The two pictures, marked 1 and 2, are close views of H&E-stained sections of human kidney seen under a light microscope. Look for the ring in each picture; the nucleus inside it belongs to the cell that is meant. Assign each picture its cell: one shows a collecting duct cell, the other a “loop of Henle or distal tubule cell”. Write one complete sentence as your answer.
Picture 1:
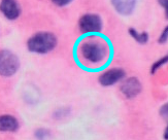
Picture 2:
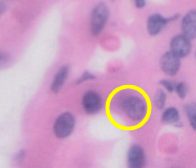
Picture 1 shows a “loop of Henle or distal tubule cell” and picture 2 shows a collecting duct cell.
